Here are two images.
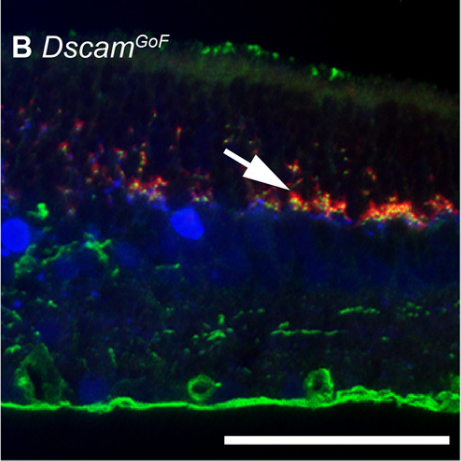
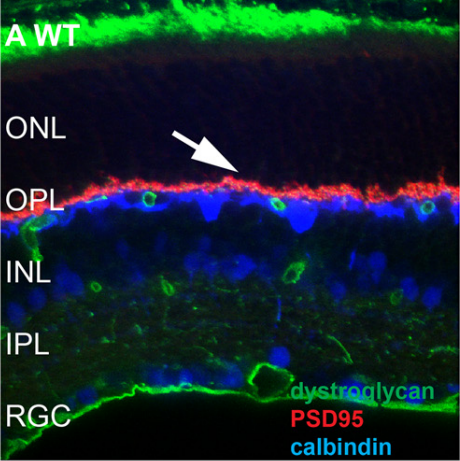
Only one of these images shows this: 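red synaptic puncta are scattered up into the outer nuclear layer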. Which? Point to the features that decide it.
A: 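First image: red and yellow puncta are spread above the synaptic band into the dark nuclear layer. Second image: the red signal forms one thin continuous band, with none in the nuclear layer above it.
Answer: the first image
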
